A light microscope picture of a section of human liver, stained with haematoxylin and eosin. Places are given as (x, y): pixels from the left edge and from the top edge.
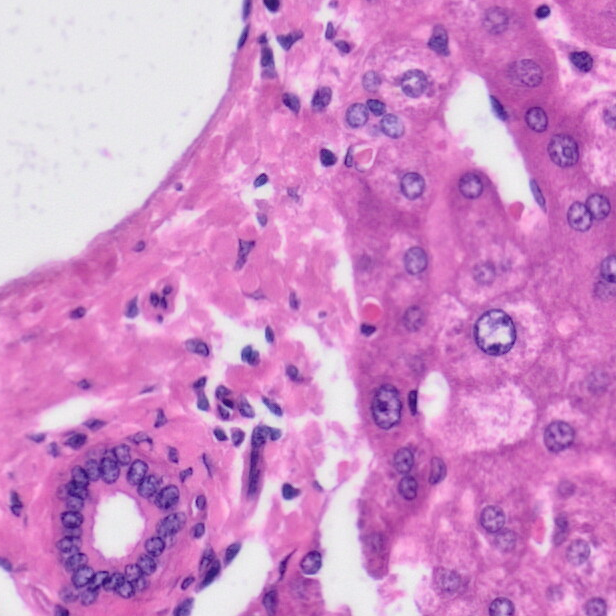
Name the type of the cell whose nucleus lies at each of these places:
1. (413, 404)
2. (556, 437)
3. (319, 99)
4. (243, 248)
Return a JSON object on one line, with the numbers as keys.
{"1": "fibroblast or stellate cell", "2": "hepatocyte", "3": "fibroblast or stellate cell", "4": "fibroblast or stellate cell"}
